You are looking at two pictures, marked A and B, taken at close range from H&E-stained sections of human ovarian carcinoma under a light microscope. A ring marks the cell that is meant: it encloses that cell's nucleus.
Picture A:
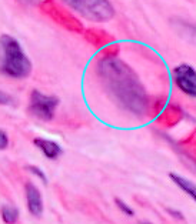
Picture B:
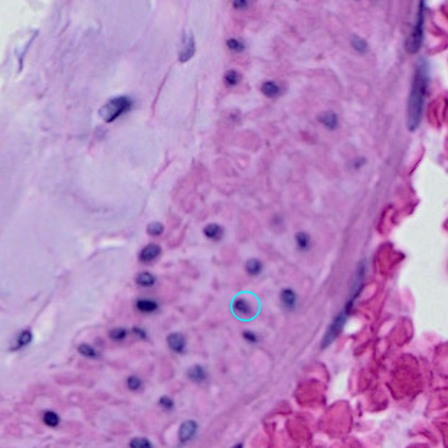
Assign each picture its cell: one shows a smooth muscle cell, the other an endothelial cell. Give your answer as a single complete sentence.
In picture A the cell is an endothelial cell; in picture B, a smooth muscle cell.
